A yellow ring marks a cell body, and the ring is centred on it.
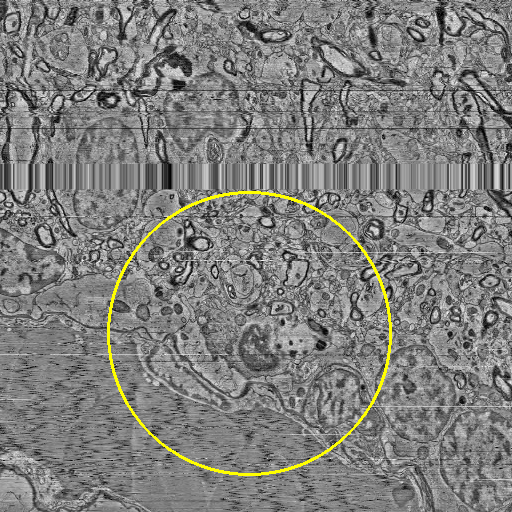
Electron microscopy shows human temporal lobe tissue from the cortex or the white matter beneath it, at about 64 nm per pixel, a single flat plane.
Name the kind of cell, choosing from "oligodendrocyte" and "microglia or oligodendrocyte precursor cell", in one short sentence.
The marked cell body belongs to an oligodendrocyte.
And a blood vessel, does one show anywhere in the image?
Yes, a blood vessel shows in the picture.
